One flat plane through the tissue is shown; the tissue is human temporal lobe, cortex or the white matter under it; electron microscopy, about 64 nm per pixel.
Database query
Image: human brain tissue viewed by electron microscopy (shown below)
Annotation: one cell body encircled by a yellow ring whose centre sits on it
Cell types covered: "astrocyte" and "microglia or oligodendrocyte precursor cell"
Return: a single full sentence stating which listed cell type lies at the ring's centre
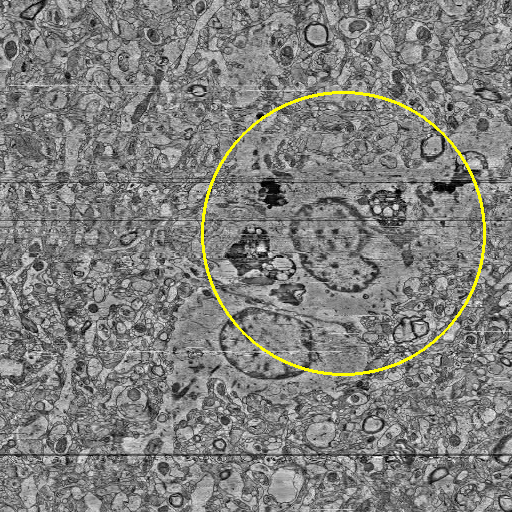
In the image, the cell lying at the ring's centre is an astrocyte.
